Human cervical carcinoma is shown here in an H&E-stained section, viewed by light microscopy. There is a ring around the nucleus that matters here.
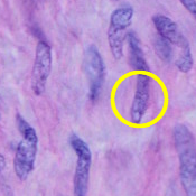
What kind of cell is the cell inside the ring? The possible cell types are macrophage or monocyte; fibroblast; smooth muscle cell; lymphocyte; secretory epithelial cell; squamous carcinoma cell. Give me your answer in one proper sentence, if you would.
In short, the cell inside the ring on this section is a smooth muscle cell.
